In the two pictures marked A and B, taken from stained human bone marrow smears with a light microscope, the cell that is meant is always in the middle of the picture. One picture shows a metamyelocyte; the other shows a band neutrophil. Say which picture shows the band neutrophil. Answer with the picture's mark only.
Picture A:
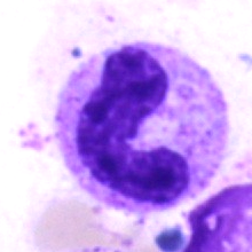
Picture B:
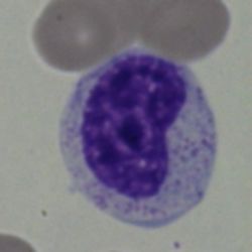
A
